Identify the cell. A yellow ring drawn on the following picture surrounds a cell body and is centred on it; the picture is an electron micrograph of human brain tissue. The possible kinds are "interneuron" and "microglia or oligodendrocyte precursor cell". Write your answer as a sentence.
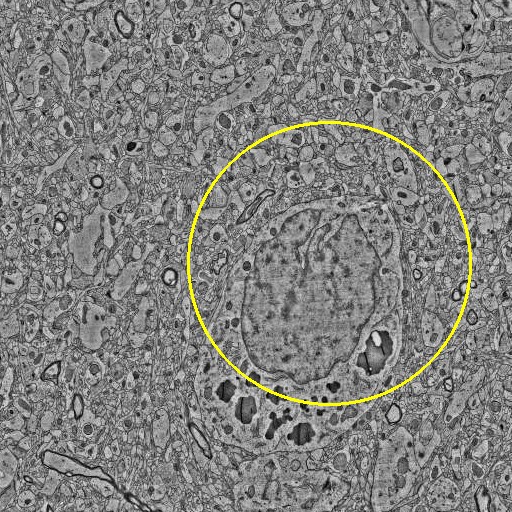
The cell identified by the ring is an interneuron.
